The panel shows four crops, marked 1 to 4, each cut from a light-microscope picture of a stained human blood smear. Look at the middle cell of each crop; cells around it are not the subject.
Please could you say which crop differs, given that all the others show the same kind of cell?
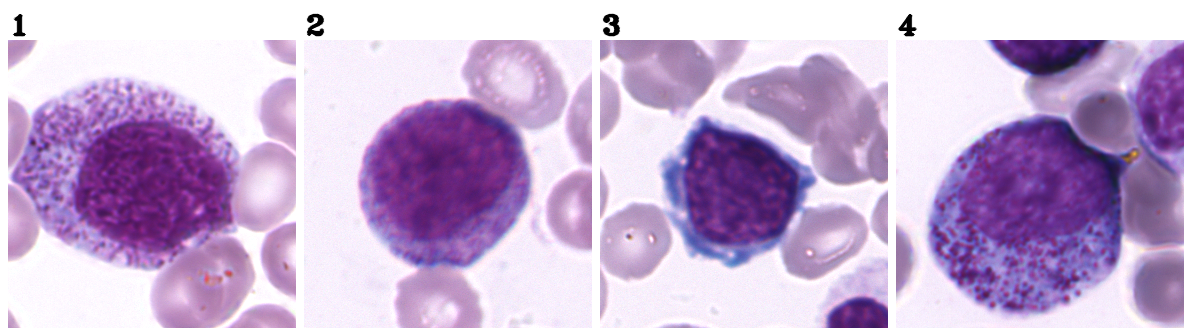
3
